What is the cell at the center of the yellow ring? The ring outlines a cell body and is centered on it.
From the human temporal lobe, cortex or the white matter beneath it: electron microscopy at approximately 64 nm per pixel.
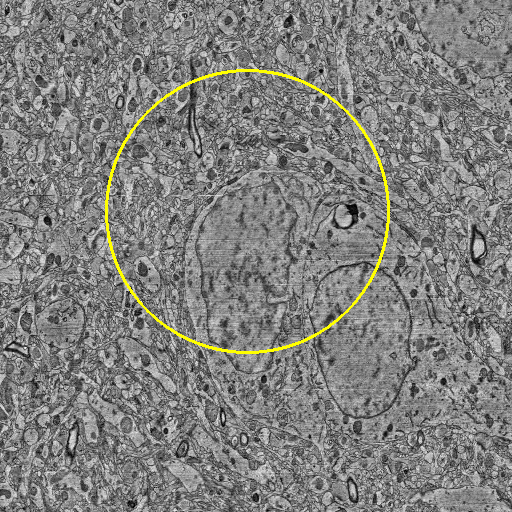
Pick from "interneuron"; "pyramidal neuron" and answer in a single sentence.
The yellow ring is centered on an interneuron.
